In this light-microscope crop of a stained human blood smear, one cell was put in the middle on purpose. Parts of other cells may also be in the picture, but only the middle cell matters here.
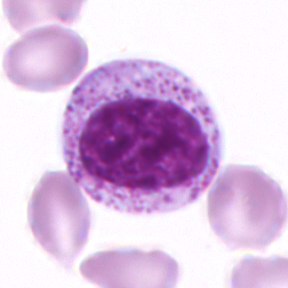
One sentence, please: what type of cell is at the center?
In the middle of this smear crop, the cell is a metamyelocyte.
